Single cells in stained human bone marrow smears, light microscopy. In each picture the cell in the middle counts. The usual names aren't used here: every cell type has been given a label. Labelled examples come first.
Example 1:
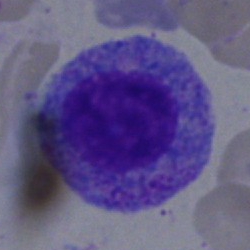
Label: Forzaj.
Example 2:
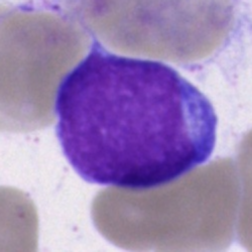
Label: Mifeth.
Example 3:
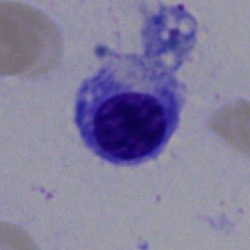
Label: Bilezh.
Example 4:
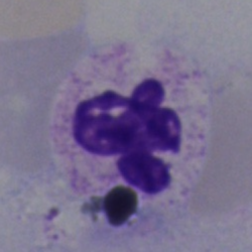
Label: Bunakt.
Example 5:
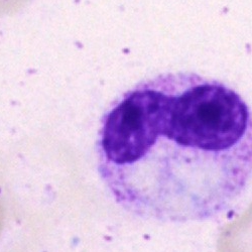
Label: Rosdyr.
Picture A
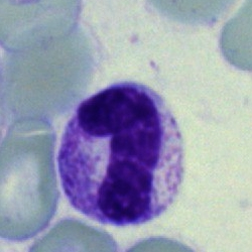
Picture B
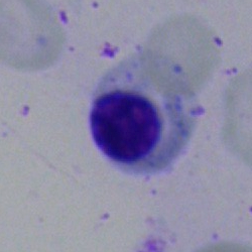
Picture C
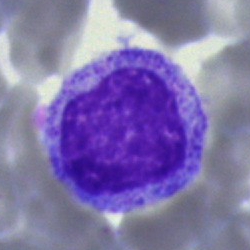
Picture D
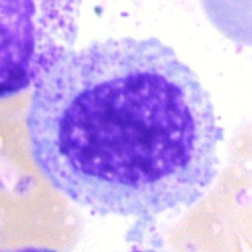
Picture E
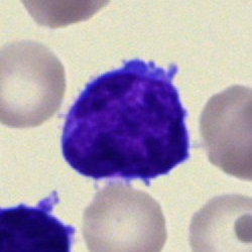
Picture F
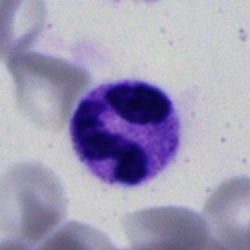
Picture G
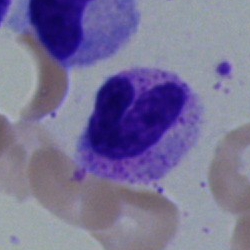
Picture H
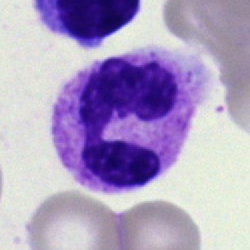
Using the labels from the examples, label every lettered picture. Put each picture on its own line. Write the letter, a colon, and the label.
A: Rosdyr.
B: Bilezh.
C: Forzaj.
D: Forzaj.
E: Mifeth.
F: Bunakt.
G: Rosdyr.
H: Bunakt.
